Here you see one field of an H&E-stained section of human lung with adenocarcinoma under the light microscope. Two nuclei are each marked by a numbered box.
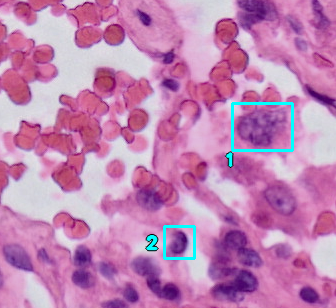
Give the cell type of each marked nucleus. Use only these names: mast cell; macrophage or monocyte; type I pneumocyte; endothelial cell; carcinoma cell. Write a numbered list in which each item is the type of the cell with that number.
1. carcinoma cell
2. type I pneumocyte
